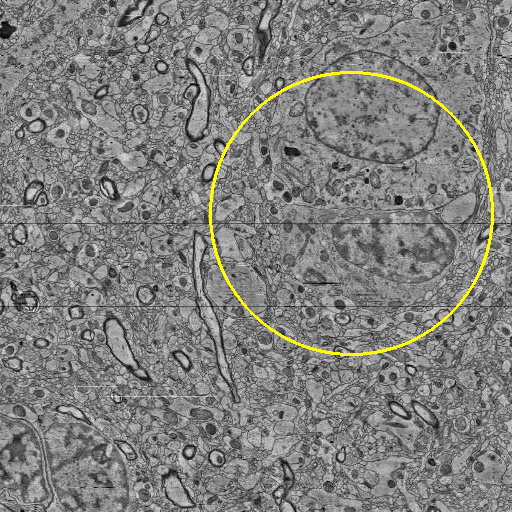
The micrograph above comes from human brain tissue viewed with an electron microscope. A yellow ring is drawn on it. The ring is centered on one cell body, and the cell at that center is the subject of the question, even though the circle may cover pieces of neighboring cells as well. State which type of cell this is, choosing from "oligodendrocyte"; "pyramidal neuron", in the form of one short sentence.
The cell the ring is centered on is an oligodendrocyte.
